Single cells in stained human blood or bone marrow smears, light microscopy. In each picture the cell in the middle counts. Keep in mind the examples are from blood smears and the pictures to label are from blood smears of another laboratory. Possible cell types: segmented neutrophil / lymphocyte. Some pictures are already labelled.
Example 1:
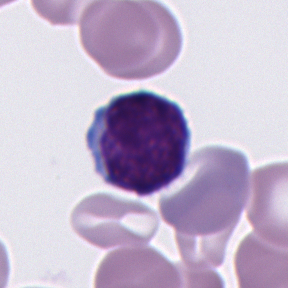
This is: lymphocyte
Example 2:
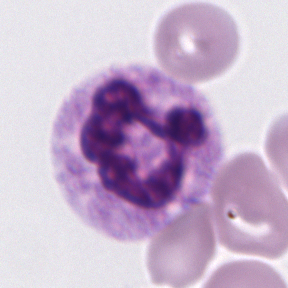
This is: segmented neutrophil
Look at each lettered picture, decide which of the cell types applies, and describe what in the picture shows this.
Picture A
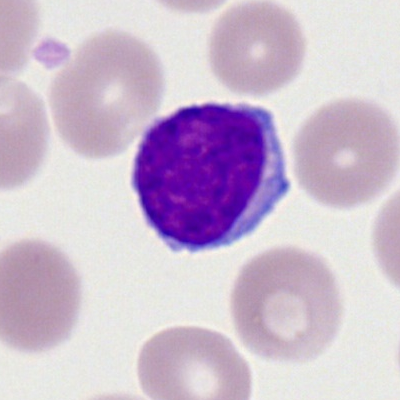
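lymphocyte. The nucleus fills most of the cell.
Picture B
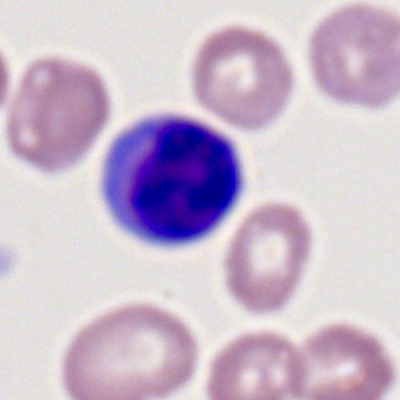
lymphocyte. The nucleus fills most of the cell.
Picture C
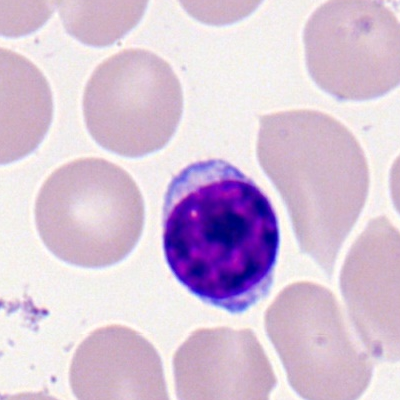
lymphocyte. The cytoplasm forms only a thin rim around the nucleus.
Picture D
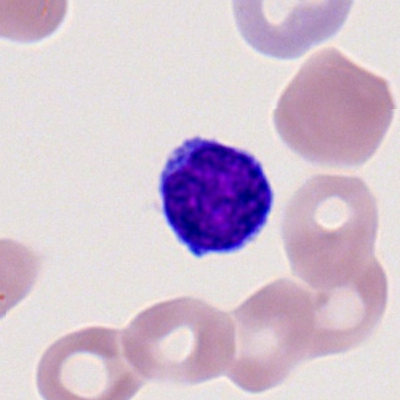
lymphocyte. The nucleus fills almost the whole cell, leaving at most a very thin rim of cytoplasm.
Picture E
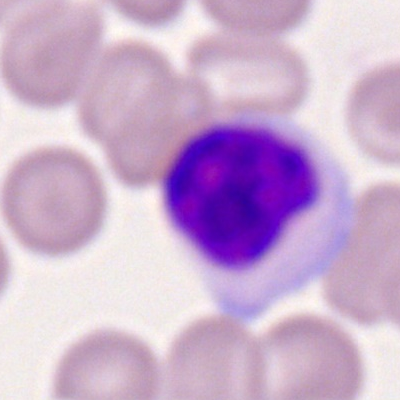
lymphocyte. The nucleus fills most of the cell and lies toward its upper left side.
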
